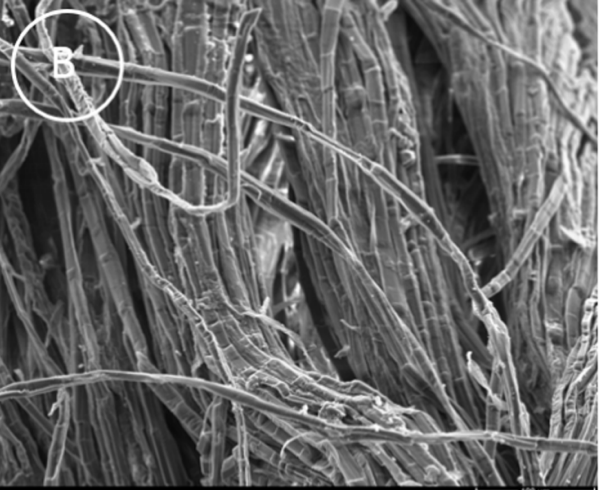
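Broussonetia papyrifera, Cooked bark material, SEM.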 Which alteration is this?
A: Numerous bends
